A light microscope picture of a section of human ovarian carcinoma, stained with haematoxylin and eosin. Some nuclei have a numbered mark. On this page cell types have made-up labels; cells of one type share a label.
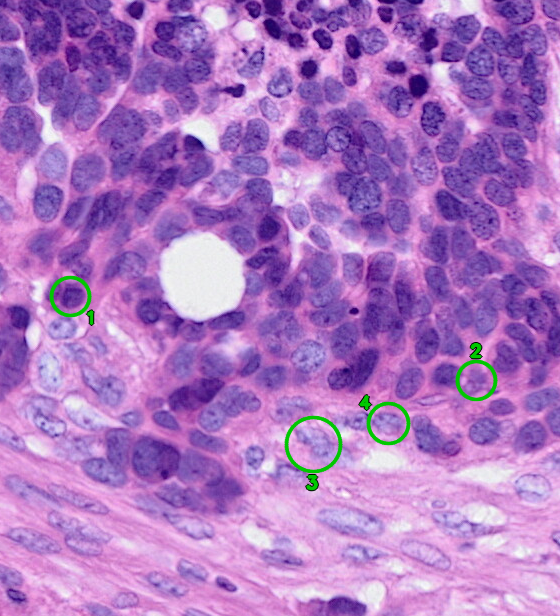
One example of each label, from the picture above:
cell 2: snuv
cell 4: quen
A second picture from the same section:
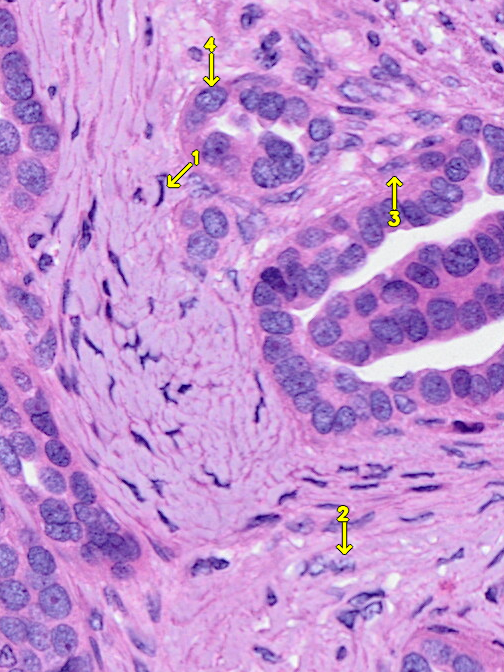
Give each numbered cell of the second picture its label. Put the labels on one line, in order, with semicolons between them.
quen; quen; quen; snuv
